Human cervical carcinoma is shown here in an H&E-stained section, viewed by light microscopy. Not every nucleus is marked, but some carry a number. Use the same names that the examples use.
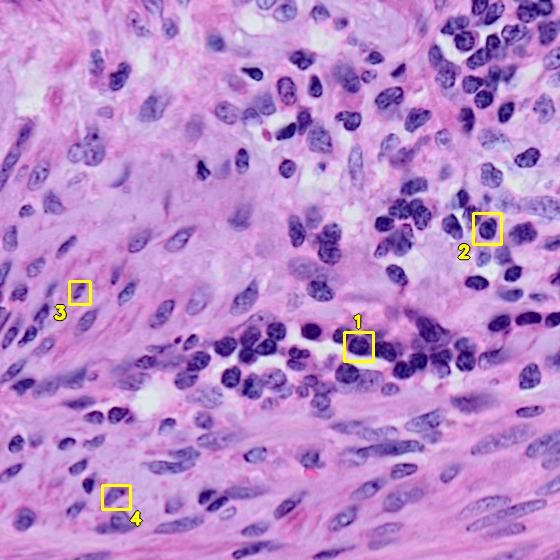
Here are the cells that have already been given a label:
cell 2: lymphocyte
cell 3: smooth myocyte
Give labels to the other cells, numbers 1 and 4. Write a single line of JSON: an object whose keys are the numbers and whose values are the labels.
{"1": "lymphocyte", "4": "smooth myocyte"}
